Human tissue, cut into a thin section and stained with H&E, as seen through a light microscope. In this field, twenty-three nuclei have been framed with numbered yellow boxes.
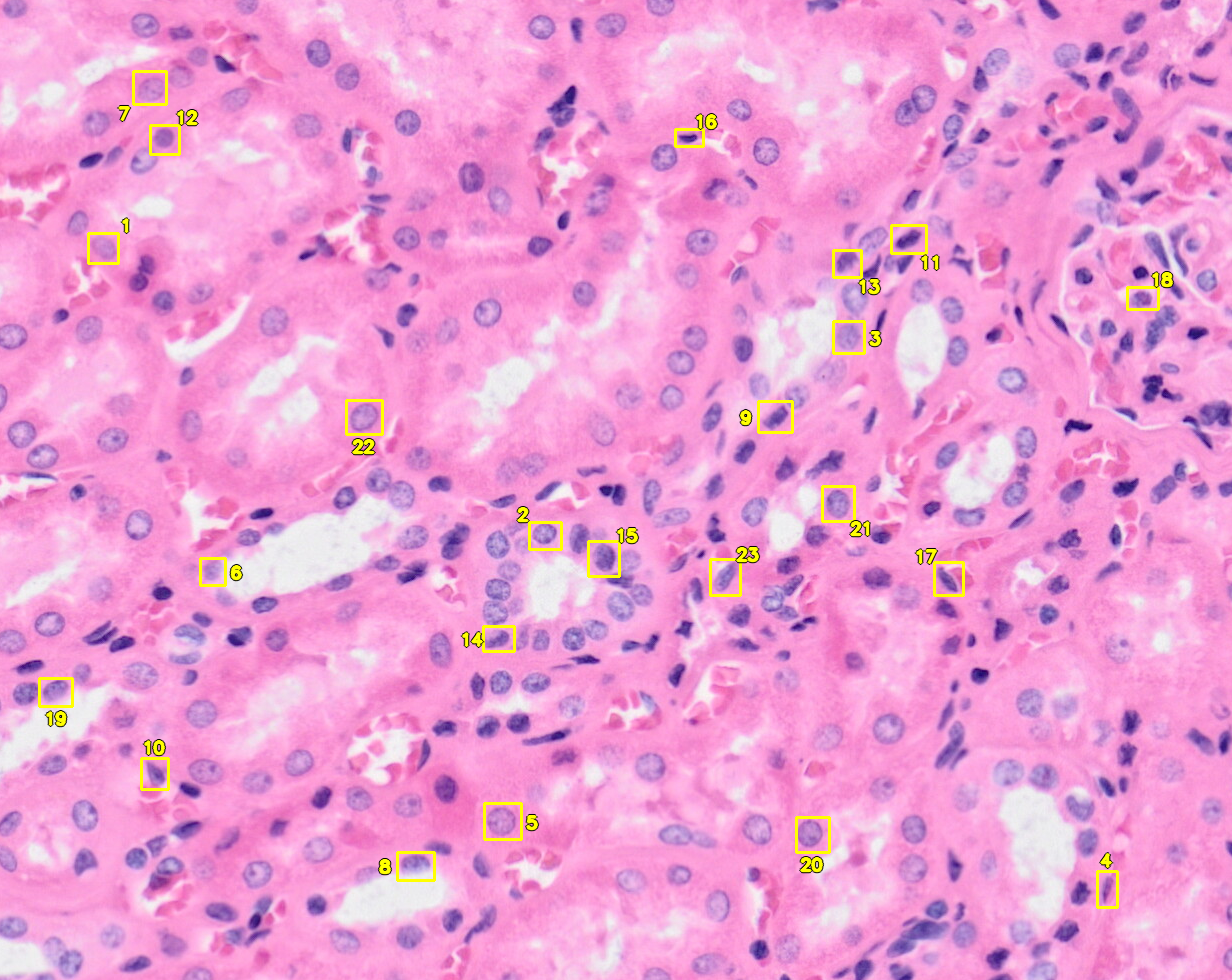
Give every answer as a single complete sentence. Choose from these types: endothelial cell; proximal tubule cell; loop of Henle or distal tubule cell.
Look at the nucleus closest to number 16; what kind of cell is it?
The nucleus nearest to number 16 is that of a proximal tubule cell.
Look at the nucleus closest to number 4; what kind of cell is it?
Closest to number 4 lies the nucleus of a loop of Henle or distal tubule cell.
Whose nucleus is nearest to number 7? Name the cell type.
Closest to number 7 lies the nucleus of a proximal tubule cell.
